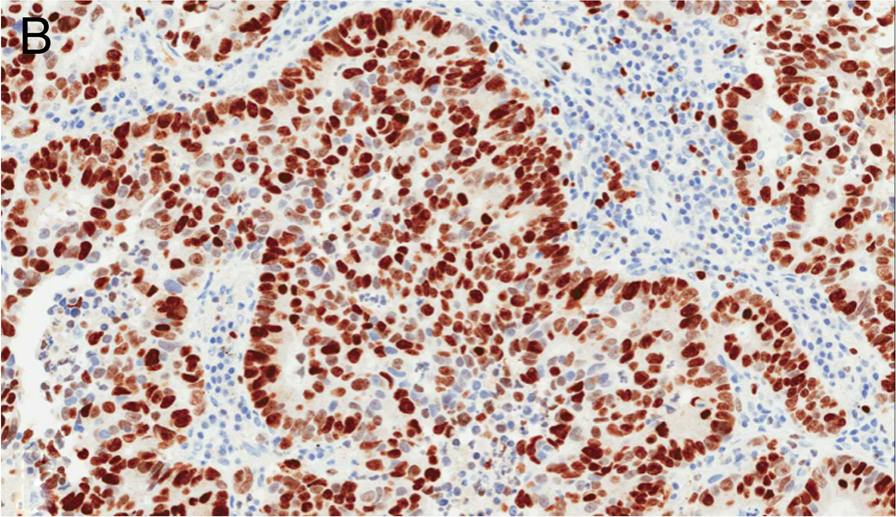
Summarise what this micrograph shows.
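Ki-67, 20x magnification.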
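This shows nests and ribbons of tumor cells in which nearly all nuclei are stained brown, separated by bands of stroma whose nuclei stay blue. The brown stain is nuclear, with the intensity varying from dark to lighter brown from cell to cell. At the nest edges the tumor cells form palisaded rows, and some nests enclose small lumens in a pseudoglandular arrangement. The stroma between the nests holds small, unstained, blue-counterstained cells.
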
